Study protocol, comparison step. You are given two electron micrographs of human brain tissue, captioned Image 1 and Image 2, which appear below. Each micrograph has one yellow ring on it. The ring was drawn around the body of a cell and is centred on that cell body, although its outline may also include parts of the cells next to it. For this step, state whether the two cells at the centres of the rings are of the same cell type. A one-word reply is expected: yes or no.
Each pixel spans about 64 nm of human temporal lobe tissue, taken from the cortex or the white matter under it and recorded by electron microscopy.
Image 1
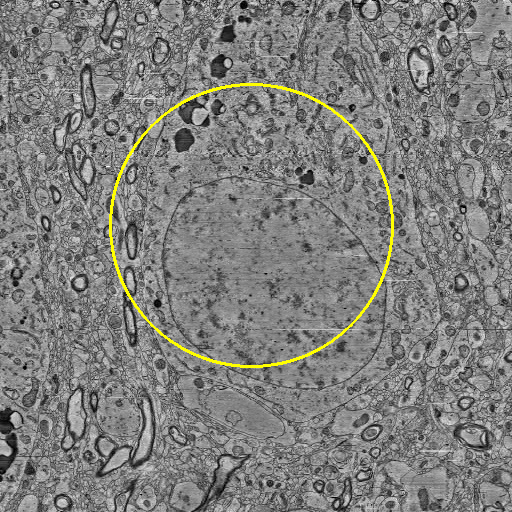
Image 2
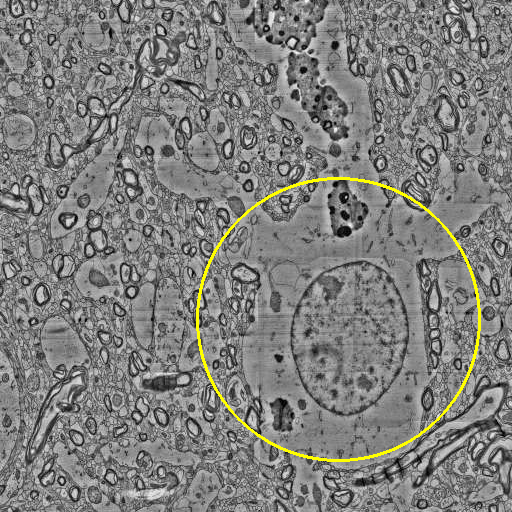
no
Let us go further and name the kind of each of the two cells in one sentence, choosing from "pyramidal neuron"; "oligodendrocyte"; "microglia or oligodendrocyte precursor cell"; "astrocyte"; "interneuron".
The ring of the first picture is on a pyramidal neuron, the ring of the second on an astrocyte.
